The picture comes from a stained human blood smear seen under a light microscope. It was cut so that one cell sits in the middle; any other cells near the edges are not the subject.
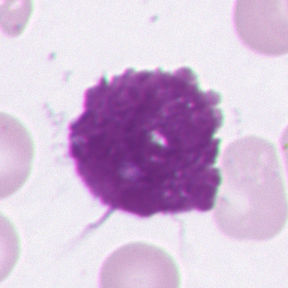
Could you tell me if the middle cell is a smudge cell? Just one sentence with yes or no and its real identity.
Yes, the cell of interest in the centre is a smudge cell.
